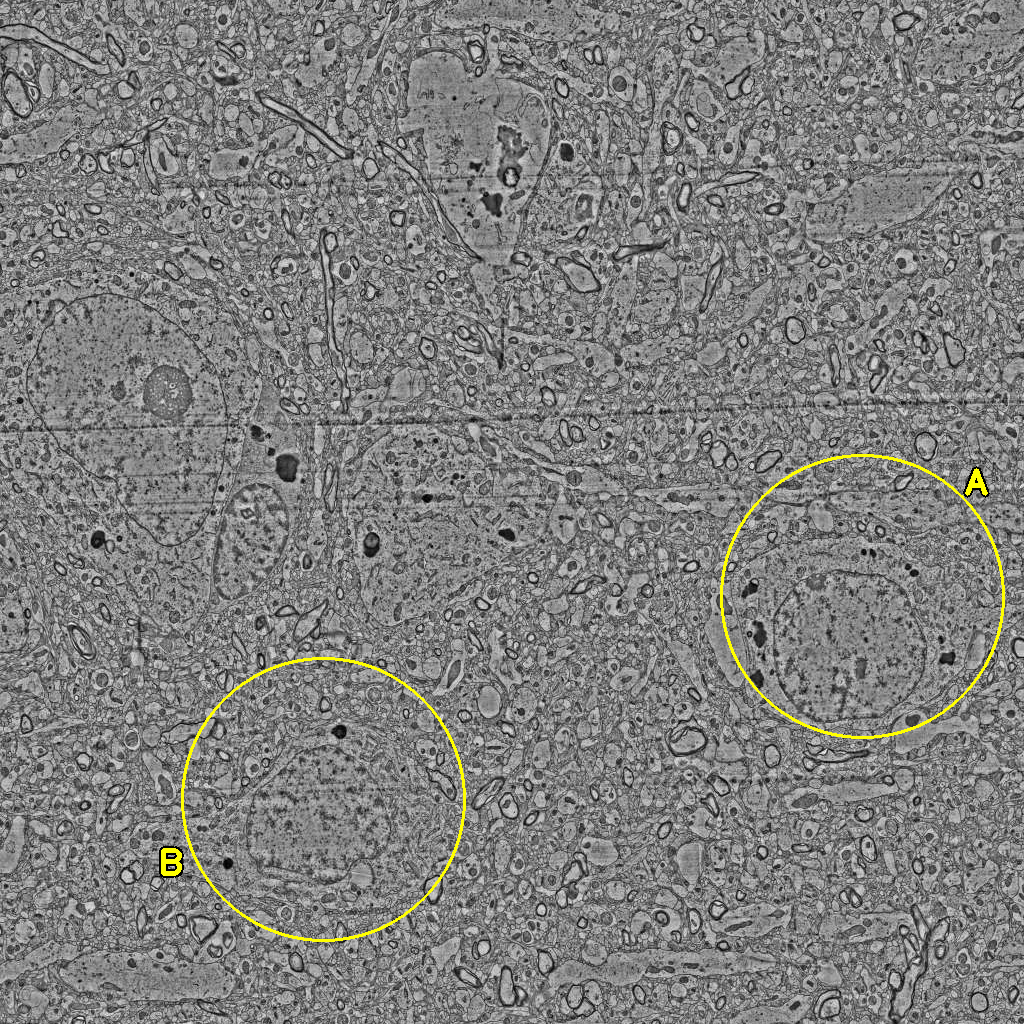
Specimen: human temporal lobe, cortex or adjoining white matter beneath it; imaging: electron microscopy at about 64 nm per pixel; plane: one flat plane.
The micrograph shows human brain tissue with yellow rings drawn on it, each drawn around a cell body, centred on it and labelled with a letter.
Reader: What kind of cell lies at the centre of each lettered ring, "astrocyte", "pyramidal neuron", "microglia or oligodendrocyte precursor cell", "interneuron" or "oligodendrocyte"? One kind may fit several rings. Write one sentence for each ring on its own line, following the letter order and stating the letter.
At the centre of ring A lies an interneuron.
At the centre of ring B lies an interneuron.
